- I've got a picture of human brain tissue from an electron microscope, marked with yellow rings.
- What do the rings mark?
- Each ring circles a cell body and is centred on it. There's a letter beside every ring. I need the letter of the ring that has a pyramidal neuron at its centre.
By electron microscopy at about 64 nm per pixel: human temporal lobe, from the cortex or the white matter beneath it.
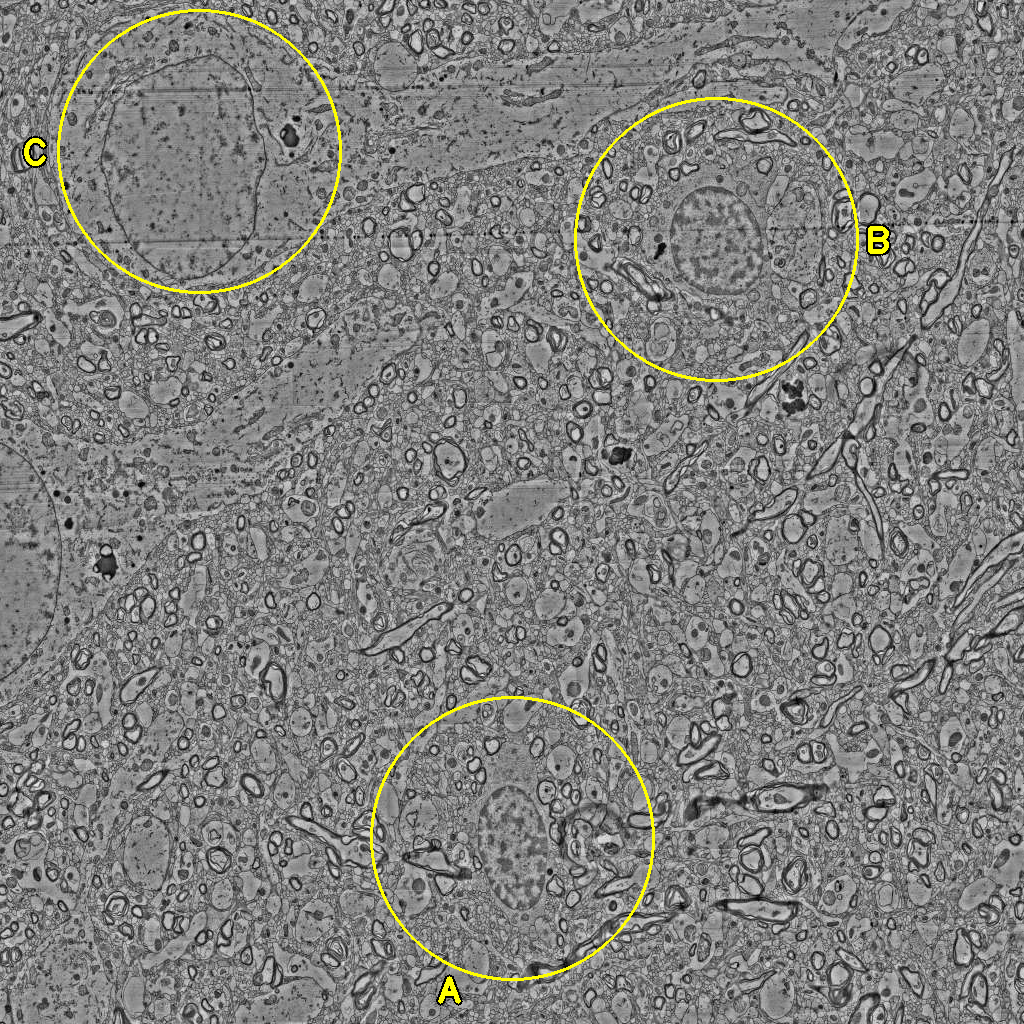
C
